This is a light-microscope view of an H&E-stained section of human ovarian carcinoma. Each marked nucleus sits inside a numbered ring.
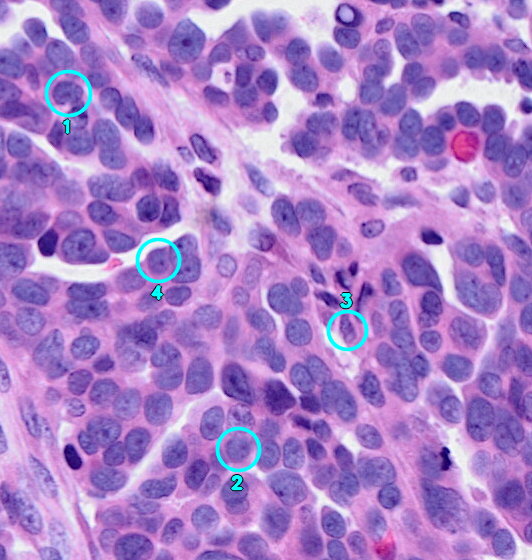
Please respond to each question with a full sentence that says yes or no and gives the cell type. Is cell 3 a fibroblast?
Yes, the cell with the number 3 is a fibroblast.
